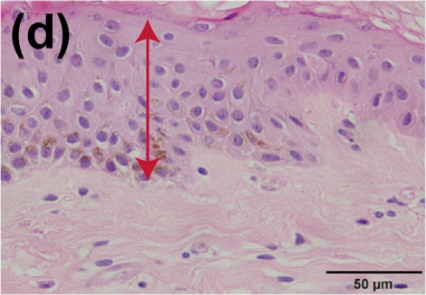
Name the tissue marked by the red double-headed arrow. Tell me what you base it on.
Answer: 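Viable epidermal cell layer. The arrow spans a thick band of nucleated cells below a pink surface layer. Brown granules lie in the lowest cells of the band. Paler fibrous tissue lies below the band.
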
